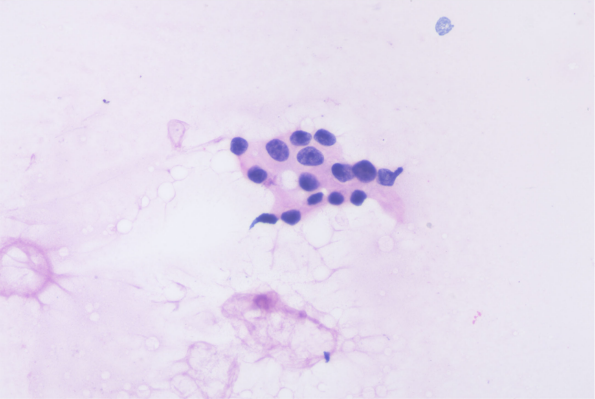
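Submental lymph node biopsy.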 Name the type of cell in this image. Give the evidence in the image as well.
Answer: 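A small cohesive cluster of cells lies in a pale background. The nuclei are large, dark and vary in size and shape. The cells share a pink cytoplasm in a tight group.
Conclusion: malignant cells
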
